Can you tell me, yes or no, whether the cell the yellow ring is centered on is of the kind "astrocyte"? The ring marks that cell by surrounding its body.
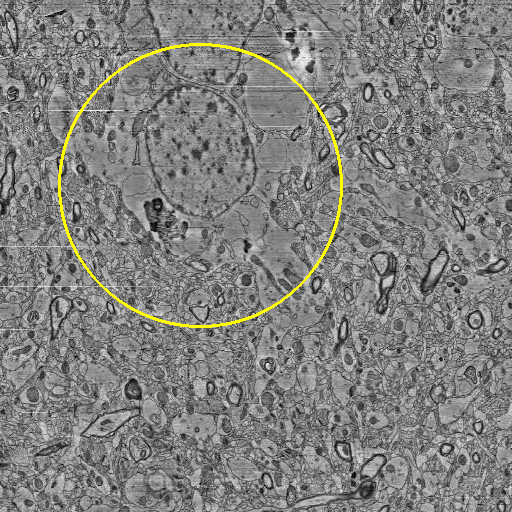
yes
